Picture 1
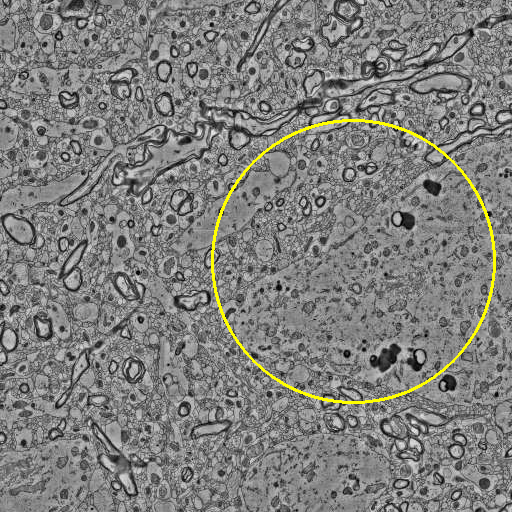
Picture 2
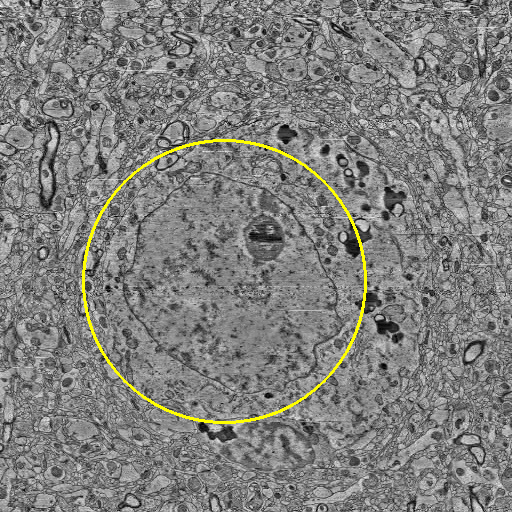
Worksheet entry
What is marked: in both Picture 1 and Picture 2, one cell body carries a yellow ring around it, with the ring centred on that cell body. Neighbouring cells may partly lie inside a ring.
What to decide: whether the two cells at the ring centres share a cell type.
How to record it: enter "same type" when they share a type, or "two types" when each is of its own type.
two types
